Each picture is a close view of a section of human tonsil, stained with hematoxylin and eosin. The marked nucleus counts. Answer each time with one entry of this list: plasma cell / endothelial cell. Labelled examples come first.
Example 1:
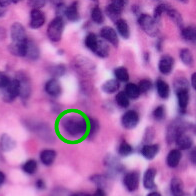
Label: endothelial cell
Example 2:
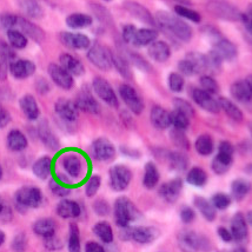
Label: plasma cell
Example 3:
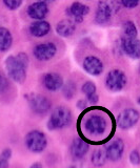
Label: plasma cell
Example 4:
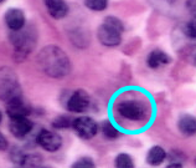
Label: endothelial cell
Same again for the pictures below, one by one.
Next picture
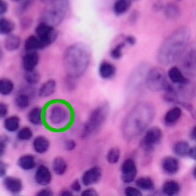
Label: endothelial cell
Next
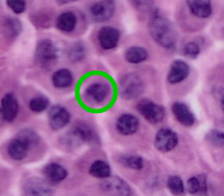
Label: plasma cell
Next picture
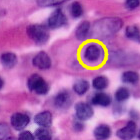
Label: endothelial cell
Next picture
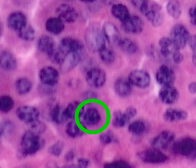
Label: plasma cell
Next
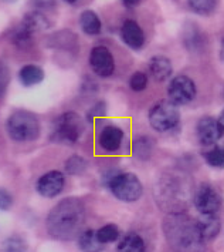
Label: plasma cell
